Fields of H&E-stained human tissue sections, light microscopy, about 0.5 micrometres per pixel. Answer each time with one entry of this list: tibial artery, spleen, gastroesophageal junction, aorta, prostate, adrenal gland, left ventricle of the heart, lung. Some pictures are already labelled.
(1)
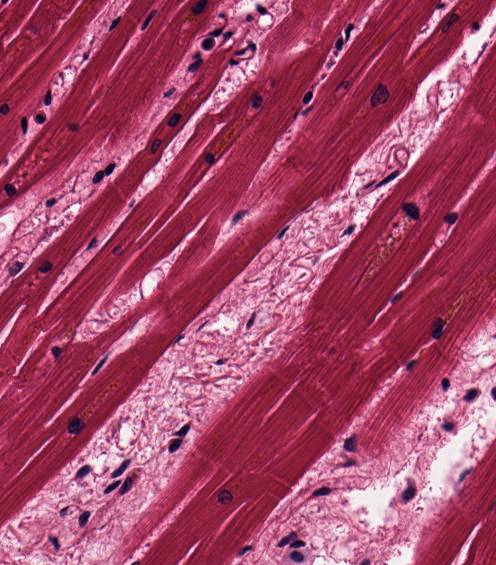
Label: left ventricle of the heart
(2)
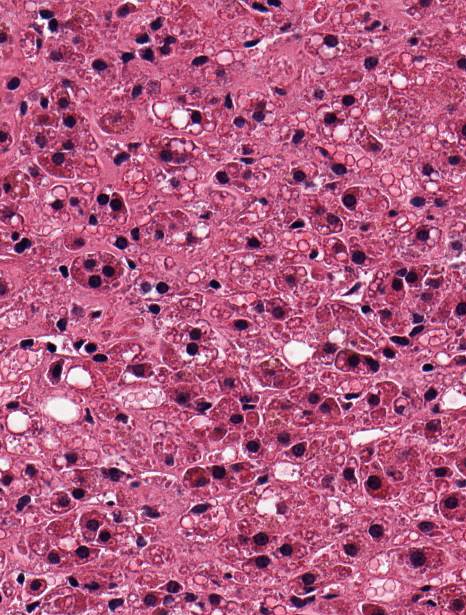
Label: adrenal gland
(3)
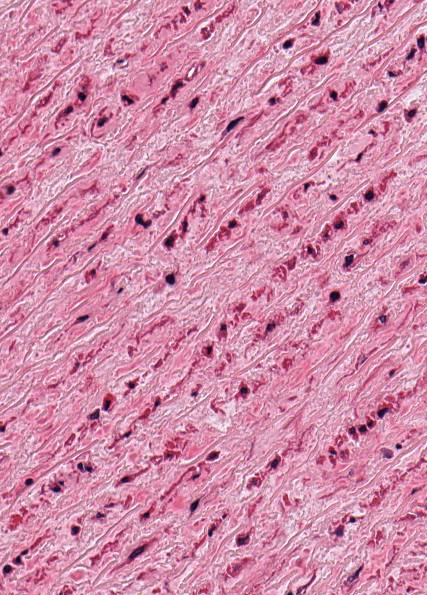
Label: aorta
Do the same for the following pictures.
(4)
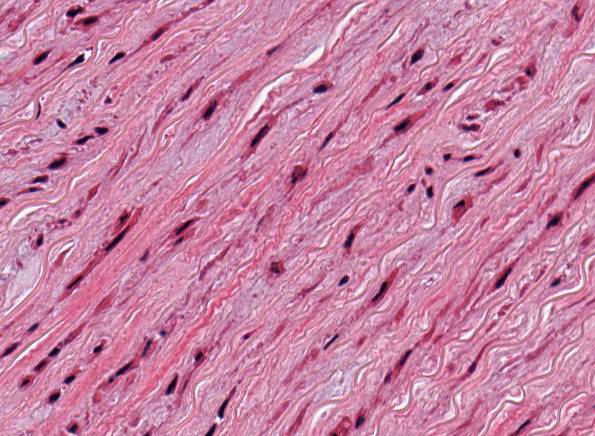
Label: aorta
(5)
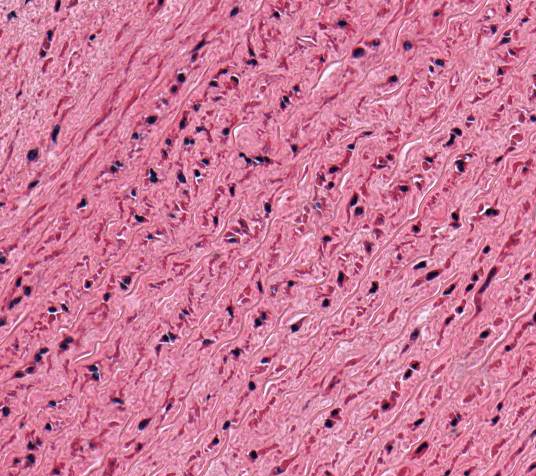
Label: aorta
